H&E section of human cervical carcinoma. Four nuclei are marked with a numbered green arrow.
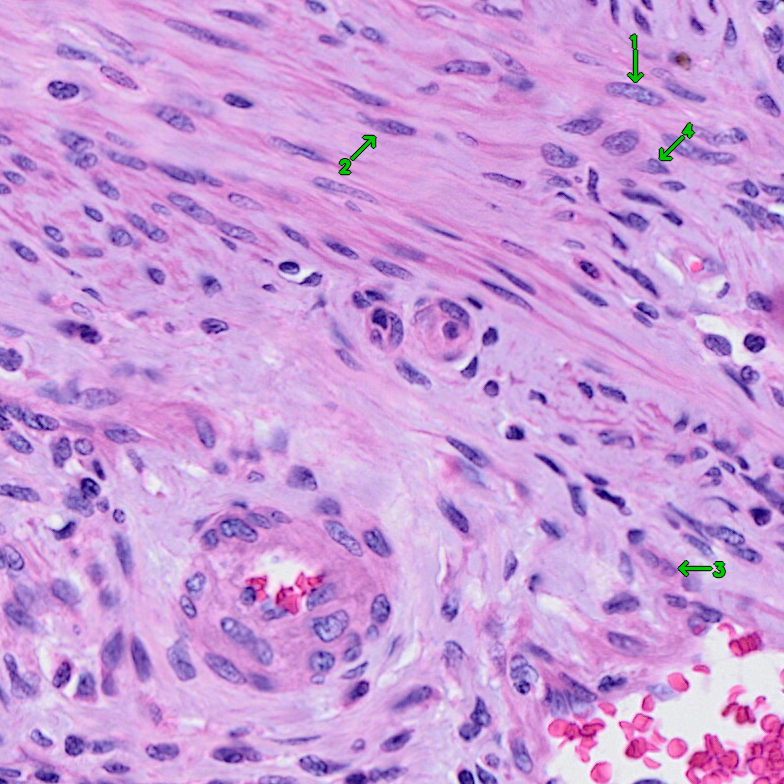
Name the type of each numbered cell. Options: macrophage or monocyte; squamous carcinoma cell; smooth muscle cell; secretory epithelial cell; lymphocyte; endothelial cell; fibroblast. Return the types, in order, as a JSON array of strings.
["smooth muscle cell", "smooth muscle cell", "endothelial cell", "smooth muscle cell"]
